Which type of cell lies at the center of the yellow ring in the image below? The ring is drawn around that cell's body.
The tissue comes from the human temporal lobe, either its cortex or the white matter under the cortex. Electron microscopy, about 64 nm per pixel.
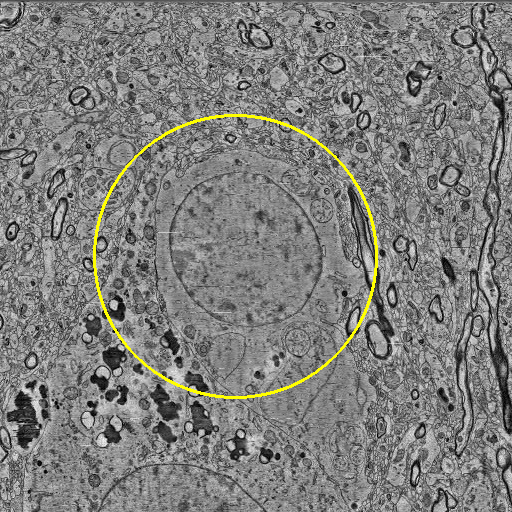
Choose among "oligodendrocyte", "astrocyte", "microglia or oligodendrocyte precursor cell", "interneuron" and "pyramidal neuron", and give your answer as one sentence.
The cell body at the center belongs to an astrocyte.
